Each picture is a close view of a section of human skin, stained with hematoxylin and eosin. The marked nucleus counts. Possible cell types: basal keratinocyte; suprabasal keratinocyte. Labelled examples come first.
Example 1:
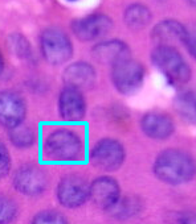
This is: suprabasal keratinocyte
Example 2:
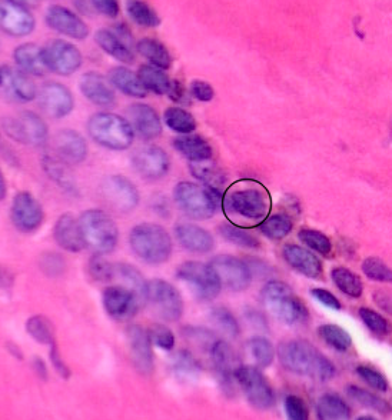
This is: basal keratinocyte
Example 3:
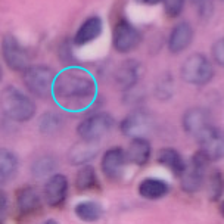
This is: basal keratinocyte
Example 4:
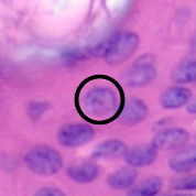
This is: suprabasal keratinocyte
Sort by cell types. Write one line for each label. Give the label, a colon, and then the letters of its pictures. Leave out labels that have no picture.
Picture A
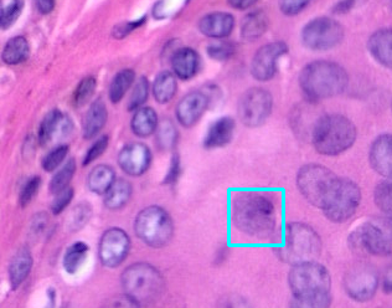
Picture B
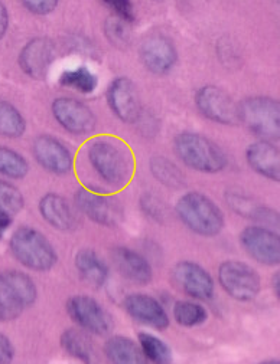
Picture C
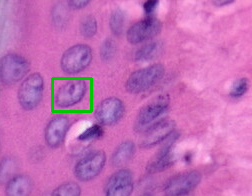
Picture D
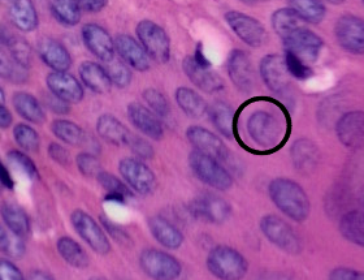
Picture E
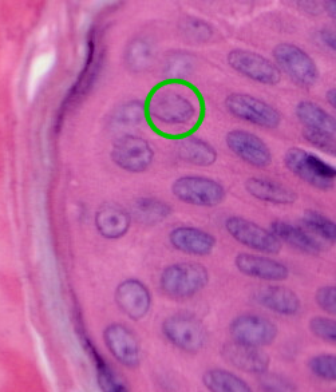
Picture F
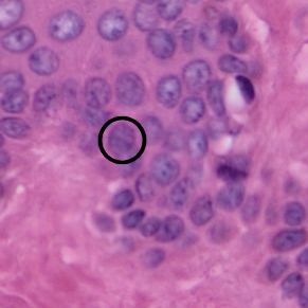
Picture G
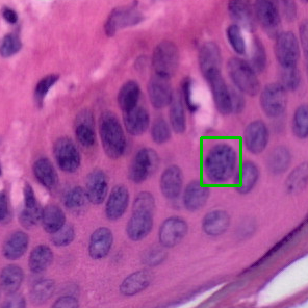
basal keratinocyte: F, G
suprabasal keratinocyte: A, B, C, D, E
